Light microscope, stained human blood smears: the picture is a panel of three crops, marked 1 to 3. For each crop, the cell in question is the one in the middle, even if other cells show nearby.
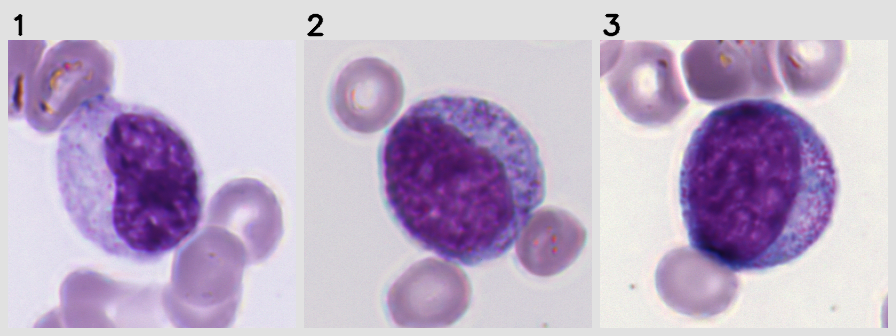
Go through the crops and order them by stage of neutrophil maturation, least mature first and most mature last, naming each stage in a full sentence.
Ordered by maturity, from least to most, the crops are crop 3 (a promyelocyte), crop 2 (a myelocyte) and crop 1 (a metamyelocyte).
